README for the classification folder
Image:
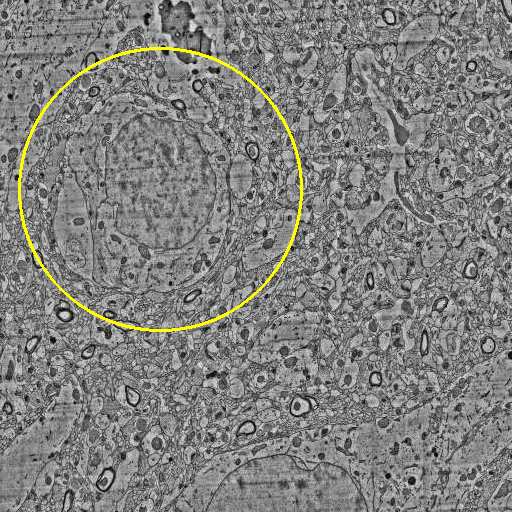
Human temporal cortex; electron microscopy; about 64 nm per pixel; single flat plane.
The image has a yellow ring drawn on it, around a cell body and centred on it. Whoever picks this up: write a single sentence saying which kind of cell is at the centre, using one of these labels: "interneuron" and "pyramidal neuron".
This cell body is that of an interneuron.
